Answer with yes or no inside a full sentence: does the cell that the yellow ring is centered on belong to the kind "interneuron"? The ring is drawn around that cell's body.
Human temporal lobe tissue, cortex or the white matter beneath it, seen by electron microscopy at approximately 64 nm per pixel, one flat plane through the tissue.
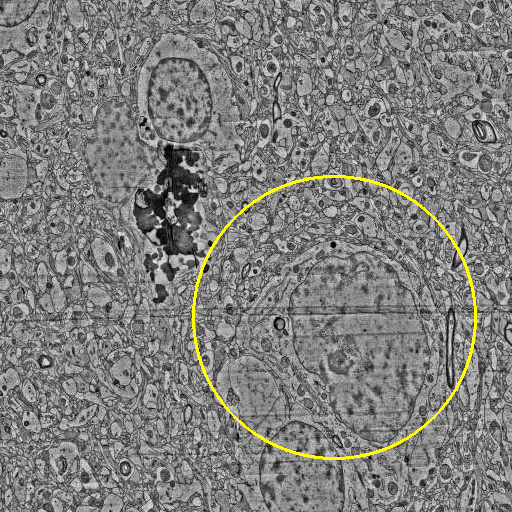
Yes, that kind describes the cell the yellow ring is centered on in the picture.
